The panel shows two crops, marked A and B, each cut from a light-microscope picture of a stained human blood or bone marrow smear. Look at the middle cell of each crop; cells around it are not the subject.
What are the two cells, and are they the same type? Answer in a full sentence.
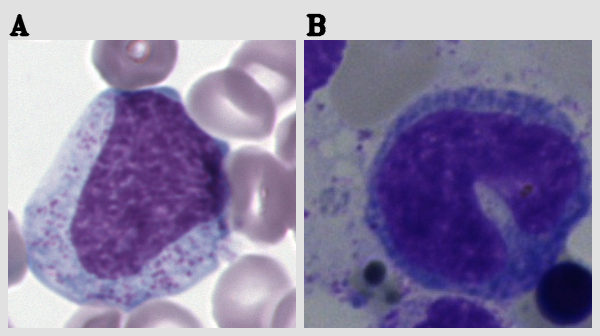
No, in crop B the central cell is a monocyte, and in crop A it is a promyelocyte.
